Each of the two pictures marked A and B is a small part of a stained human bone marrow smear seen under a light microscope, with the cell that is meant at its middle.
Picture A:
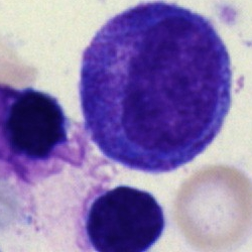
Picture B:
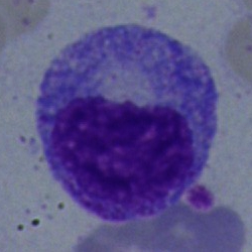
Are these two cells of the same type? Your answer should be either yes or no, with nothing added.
yes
